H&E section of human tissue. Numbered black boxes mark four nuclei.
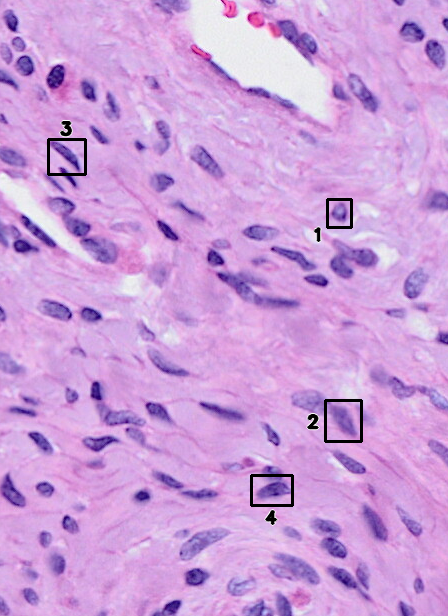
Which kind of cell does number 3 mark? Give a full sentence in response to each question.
The marked cell with the number 3 is recognised as a fibroblast.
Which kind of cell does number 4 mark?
The cell that bears the number 4 is a fibroblast.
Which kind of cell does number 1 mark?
Looking at the numbered marks, cell 1 is a smooth muscle cell.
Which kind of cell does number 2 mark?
The correct label for cell 2 is a fibroblast.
